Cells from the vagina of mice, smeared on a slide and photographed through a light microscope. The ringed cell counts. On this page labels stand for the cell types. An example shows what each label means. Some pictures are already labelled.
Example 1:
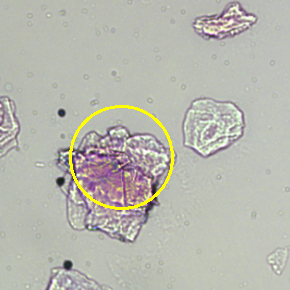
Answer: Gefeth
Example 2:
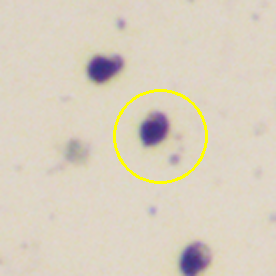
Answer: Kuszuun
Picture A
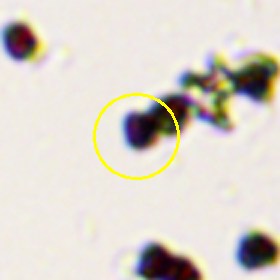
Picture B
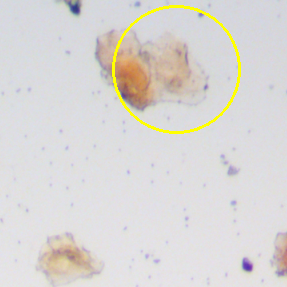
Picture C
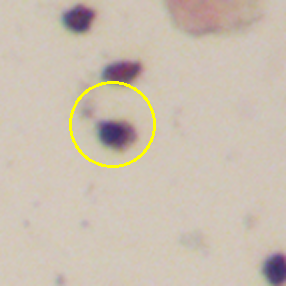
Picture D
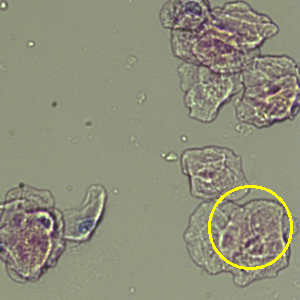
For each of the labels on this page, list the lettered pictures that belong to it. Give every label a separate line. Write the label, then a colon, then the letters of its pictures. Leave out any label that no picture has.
Gefeth: B, D
Kuszuun: A, C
